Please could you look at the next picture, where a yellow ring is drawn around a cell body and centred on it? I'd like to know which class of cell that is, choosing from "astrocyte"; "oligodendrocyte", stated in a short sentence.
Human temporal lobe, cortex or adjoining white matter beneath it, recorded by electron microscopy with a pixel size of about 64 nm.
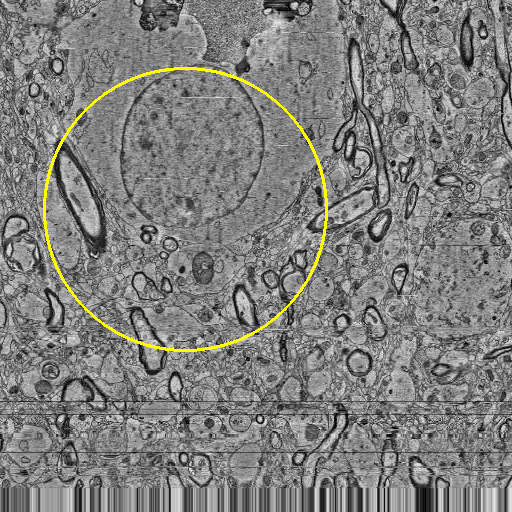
The ring's centre lies on an astrocyte.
